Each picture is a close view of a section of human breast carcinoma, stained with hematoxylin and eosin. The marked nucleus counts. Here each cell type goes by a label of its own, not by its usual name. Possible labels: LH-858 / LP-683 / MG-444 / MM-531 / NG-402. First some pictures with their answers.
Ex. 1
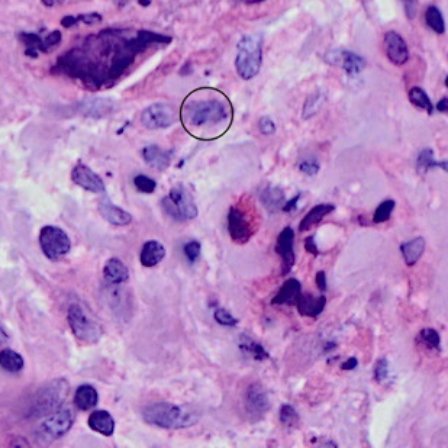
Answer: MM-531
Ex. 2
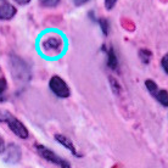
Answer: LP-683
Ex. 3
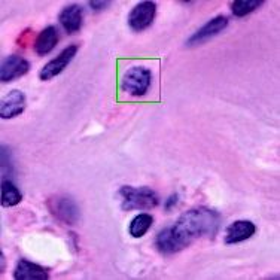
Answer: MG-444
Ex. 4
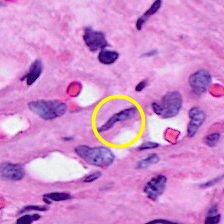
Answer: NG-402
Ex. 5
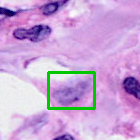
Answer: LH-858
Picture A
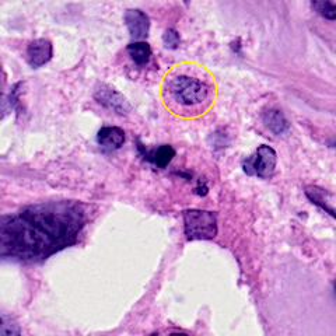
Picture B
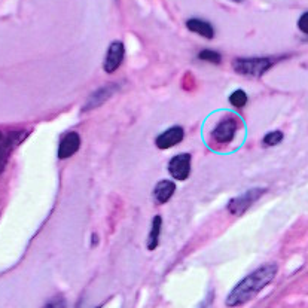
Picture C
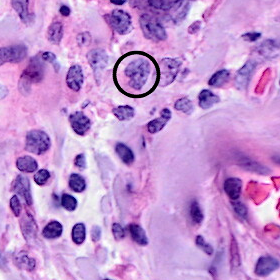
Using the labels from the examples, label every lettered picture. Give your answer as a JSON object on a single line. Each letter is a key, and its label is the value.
{"A": "MG-444", "B": "MG-444", "C": "MM-531"}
